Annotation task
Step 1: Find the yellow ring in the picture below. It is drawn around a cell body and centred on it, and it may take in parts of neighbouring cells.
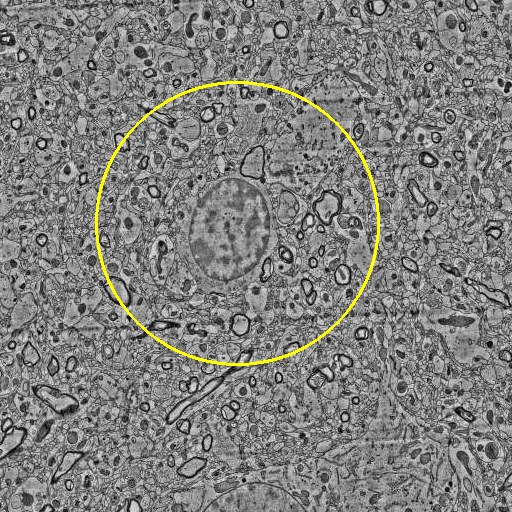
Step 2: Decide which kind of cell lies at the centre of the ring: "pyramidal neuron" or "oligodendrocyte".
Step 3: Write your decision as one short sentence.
The kind of cell at the ring's centre is an oligodendrocyte.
